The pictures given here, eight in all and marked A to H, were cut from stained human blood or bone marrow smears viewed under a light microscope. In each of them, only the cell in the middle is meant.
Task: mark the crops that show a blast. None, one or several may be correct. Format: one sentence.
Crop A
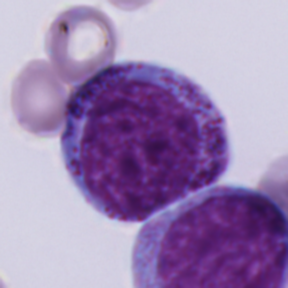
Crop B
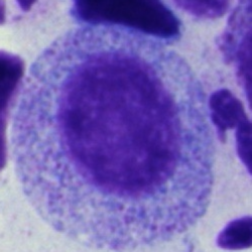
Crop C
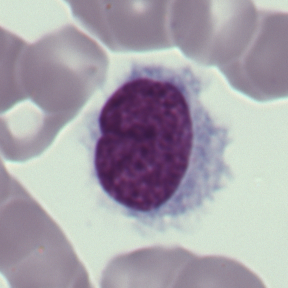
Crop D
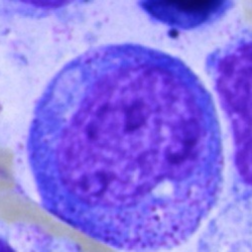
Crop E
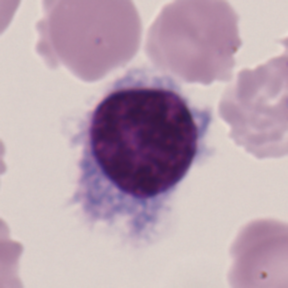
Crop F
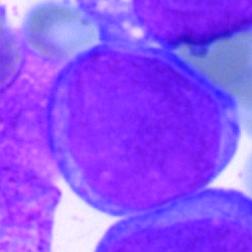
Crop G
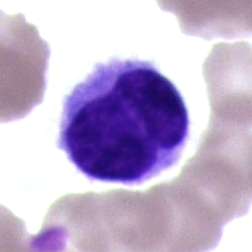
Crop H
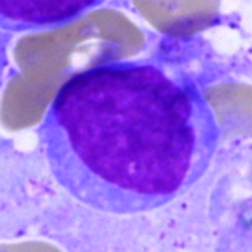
The cells centred in crops F and H are blasts.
